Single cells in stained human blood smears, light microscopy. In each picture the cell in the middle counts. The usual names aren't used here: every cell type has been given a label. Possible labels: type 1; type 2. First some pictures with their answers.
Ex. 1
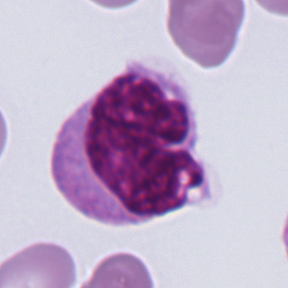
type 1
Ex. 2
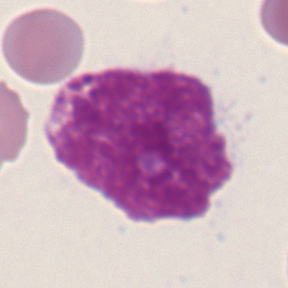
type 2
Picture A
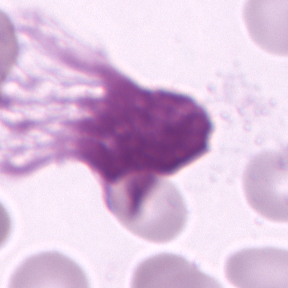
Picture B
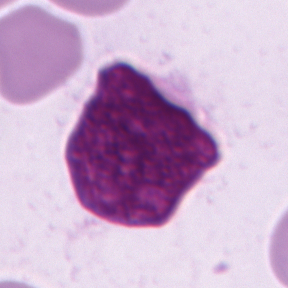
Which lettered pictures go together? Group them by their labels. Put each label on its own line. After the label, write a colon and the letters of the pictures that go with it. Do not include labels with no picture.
type 2: A, B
